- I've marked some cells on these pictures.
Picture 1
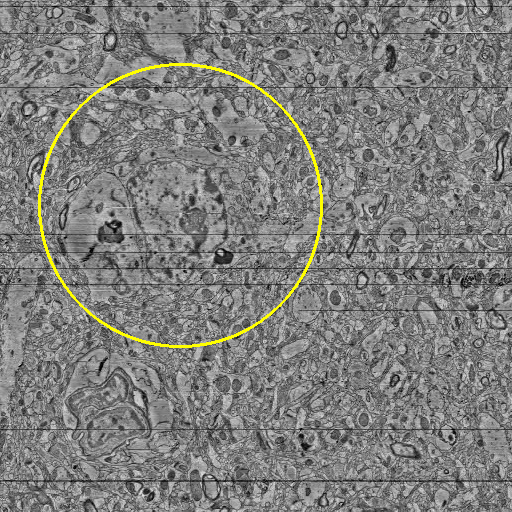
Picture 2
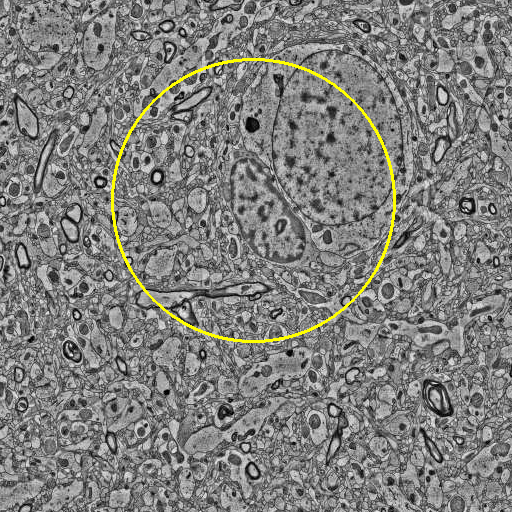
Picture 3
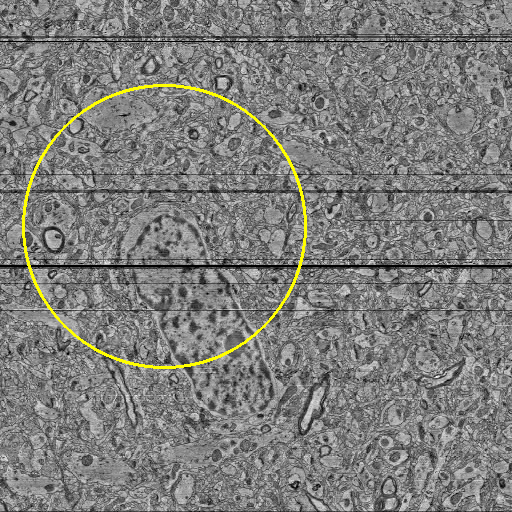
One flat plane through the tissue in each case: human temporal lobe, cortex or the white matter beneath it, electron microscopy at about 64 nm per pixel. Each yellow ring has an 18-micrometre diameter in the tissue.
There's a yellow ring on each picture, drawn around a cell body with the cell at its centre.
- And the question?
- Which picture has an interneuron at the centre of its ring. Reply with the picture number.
1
